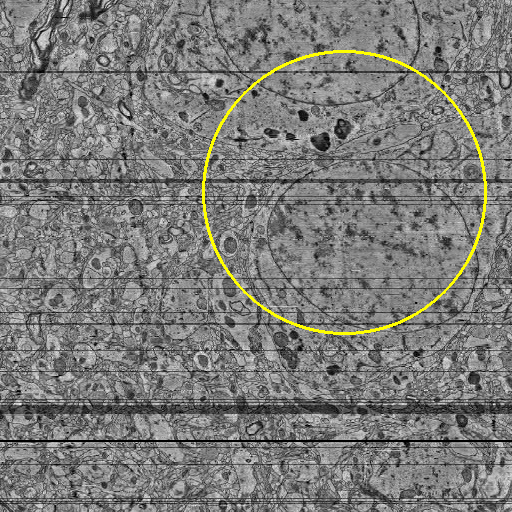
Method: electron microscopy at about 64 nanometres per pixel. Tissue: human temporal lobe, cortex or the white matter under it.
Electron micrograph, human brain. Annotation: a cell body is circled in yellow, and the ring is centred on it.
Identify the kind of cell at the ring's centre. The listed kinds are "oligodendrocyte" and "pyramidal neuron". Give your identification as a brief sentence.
The circled cell body is that of a pyramidal neuron.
